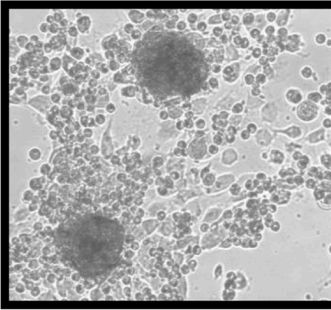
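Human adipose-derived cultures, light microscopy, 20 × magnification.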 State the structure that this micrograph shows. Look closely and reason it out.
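Two large dark, dense rounded masses stand among the cells. Many small round single cells are scattered around the masses.
Hence: large cell/tissue clumps.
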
